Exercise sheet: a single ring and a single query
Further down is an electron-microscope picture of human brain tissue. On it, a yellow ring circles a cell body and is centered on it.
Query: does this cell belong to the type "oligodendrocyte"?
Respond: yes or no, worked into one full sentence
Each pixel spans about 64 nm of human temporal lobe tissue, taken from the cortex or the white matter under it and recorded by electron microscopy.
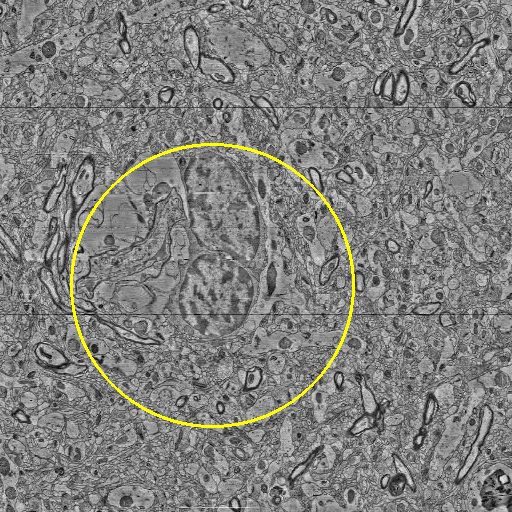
Yes, this ringed cell, found at the center of the ring in the picture, is of that type.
